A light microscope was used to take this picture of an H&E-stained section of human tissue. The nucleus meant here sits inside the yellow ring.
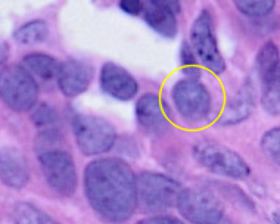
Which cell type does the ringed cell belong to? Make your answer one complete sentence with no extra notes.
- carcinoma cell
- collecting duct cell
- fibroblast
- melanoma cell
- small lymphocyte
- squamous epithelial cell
Placed in its cell category, the ringed cell is a carcinoma cell.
